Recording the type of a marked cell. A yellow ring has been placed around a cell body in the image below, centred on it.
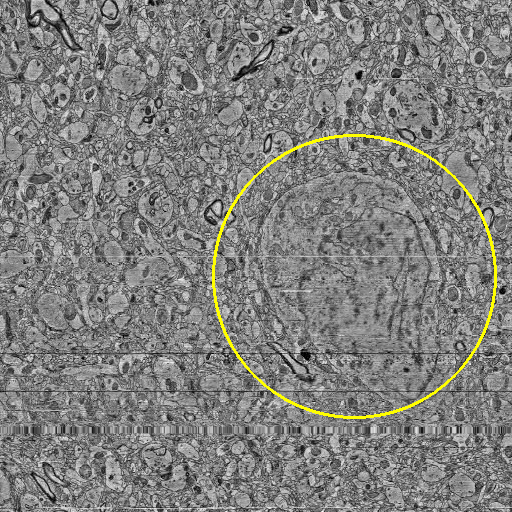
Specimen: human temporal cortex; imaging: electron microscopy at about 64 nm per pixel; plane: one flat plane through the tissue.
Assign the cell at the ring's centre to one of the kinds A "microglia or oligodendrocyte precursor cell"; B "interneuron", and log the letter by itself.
B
